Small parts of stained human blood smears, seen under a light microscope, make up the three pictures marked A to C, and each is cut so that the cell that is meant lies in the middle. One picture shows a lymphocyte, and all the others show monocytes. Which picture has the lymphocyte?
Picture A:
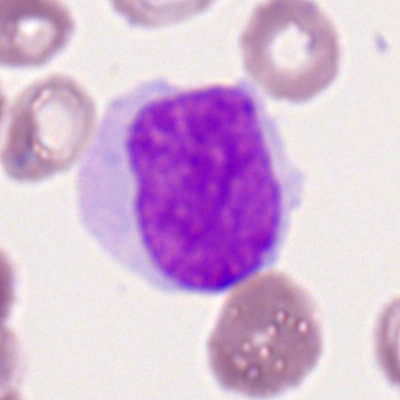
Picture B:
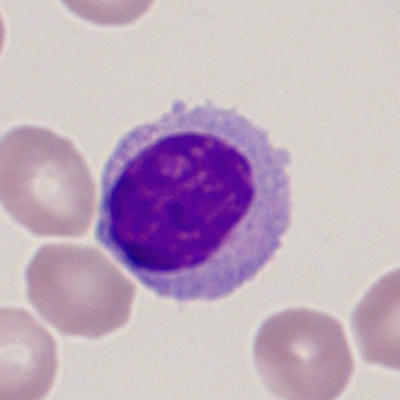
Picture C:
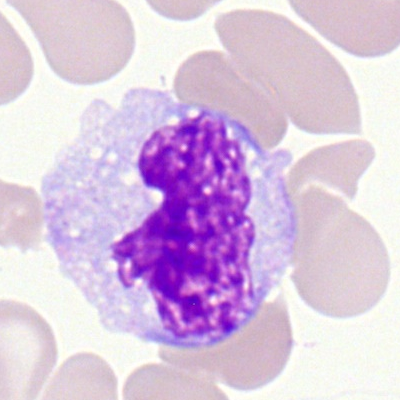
B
